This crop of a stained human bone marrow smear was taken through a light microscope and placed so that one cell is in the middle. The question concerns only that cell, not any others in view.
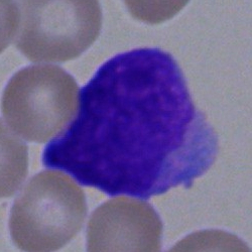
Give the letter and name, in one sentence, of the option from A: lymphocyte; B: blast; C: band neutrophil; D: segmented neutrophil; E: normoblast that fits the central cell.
Given that the cell in the middle is a blast, option B is correct.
